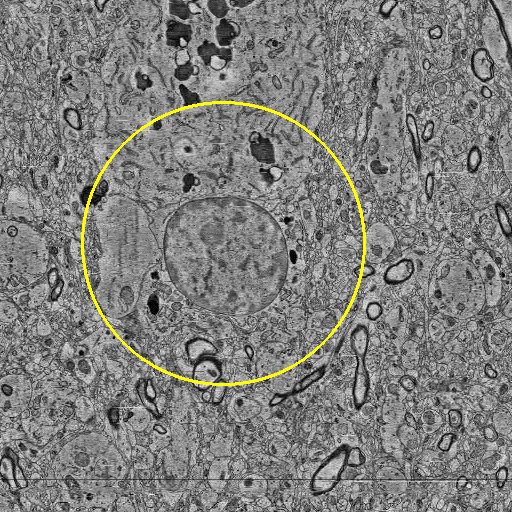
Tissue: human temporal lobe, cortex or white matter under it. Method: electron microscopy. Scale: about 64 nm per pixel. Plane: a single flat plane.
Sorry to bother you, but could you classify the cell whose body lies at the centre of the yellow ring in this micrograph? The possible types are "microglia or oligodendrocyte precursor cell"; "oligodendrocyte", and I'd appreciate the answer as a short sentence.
The ringed cell body is that of a microglial cell or oligodendrocyte precursor cell.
